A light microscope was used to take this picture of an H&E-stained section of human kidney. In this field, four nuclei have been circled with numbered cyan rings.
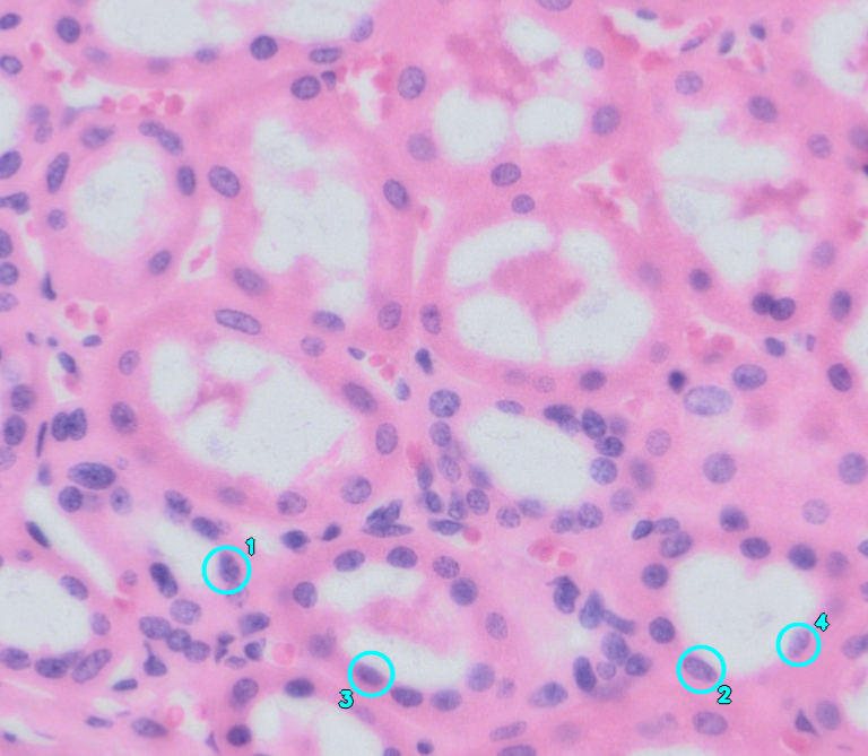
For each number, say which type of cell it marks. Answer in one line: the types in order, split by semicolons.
collecting duct cell; loop of Henle or distal tubule cell; loop of Henle or distal tubule cell; loop of Henle or distal tubule cell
